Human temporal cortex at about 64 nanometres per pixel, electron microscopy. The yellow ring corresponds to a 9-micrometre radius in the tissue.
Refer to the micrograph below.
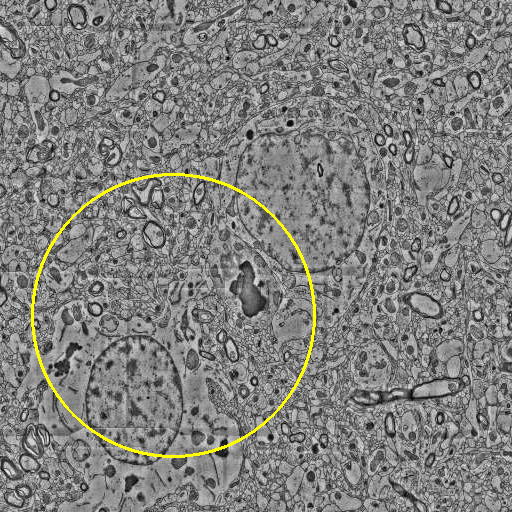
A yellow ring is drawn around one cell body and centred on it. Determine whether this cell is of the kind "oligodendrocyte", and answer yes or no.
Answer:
yes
